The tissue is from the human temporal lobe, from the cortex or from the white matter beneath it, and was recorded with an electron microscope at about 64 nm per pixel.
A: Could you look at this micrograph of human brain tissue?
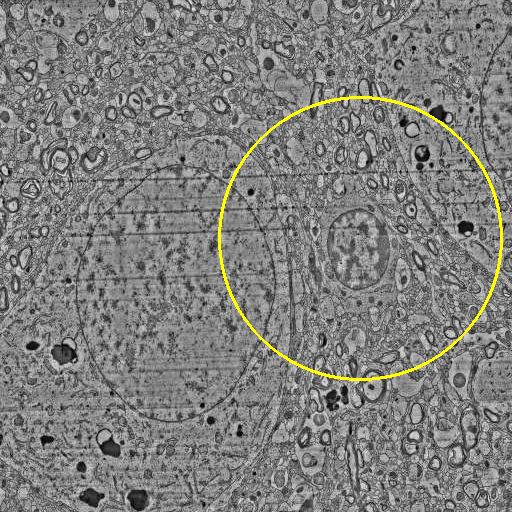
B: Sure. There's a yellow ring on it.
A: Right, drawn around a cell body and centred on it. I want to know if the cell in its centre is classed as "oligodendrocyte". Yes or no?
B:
yes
